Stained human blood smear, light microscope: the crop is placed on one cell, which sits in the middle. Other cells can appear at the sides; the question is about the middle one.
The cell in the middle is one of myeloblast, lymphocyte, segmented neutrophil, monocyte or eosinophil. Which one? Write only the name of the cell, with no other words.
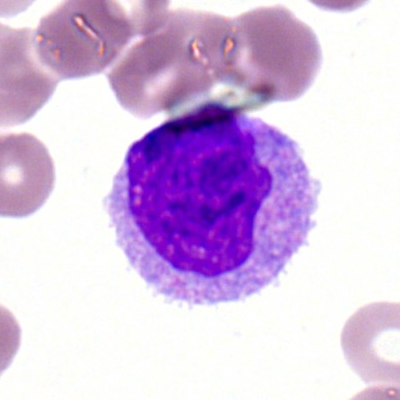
monocyte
